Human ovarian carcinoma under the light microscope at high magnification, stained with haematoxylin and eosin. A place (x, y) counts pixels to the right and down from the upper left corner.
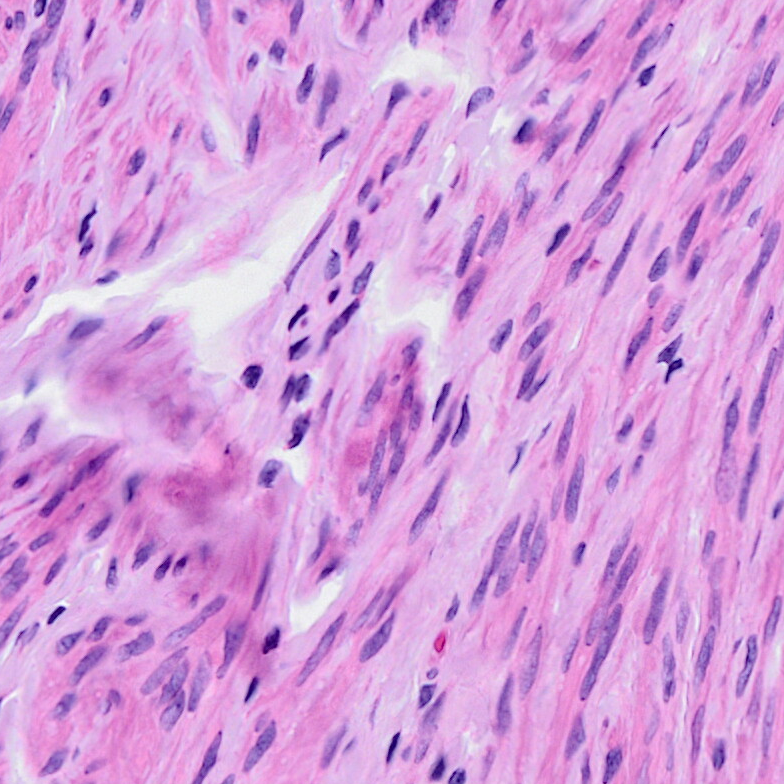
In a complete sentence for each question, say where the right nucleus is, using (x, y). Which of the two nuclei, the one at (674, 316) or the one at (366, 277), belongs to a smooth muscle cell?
Of the pair, the nucleus located at (674, 316) belongs to a smooth muscle cell.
